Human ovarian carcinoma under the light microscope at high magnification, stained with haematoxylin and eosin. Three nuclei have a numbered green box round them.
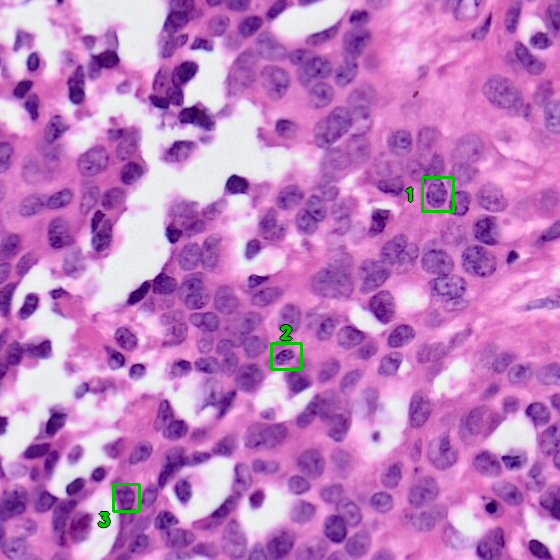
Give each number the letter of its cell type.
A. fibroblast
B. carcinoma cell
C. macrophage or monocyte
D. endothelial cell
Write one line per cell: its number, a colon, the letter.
1: C
2: C
3: B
